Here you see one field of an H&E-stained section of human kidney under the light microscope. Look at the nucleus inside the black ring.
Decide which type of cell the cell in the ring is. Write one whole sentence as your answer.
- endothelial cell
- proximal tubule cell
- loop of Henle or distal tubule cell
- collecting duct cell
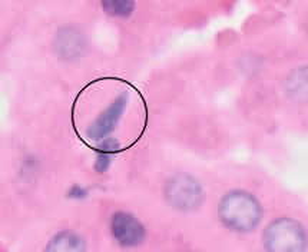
In the tissue at hand, the cell in the ring is an endothelial cell.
